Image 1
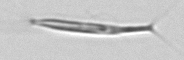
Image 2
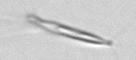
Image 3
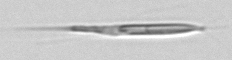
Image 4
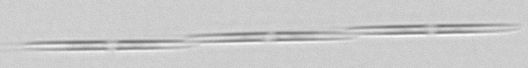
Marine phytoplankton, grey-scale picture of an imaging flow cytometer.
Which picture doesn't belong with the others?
Picture 4.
